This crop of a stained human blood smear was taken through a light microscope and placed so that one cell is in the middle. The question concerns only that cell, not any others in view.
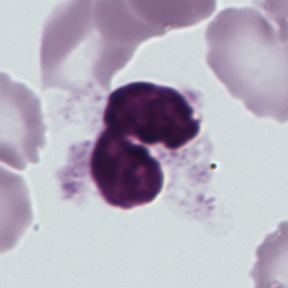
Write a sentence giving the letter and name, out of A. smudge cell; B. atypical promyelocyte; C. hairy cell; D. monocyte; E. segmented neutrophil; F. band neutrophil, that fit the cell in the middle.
Option E correctly states that the central cell is a segmented neutrophil.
